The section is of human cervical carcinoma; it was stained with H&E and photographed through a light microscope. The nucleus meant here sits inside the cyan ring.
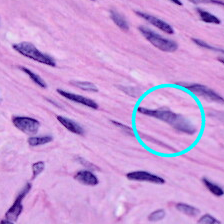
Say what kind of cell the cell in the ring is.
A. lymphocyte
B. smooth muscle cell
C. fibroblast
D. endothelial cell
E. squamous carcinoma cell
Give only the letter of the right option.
C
